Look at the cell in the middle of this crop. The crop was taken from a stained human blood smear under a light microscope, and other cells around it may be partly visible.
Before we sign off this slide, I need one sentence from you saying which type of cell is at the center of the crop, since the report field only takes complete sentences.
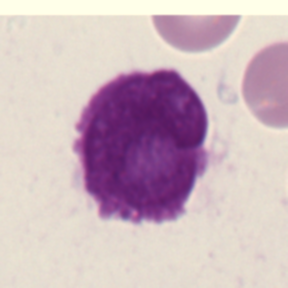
Located at the centre of the crop is a smudge cell.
